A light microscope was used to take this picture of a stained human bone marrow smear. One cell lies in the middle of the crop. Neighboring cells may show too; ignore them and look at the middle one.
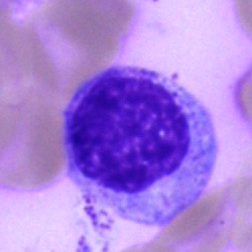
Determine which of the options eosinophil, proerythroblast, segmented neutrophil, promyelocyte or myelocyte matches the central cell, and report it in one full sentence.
The cell that lies at the centre of the crop is a myelocyte.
